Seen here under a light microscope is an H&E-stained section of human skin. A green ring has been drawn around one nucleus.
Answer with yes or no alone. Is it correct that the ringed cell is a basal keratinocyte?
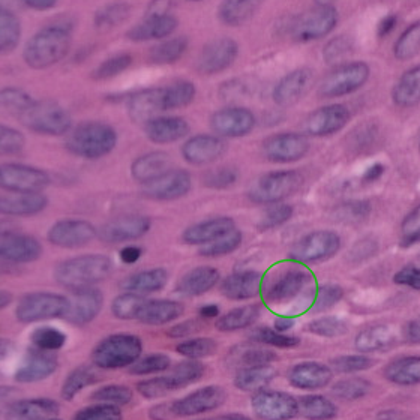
yes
